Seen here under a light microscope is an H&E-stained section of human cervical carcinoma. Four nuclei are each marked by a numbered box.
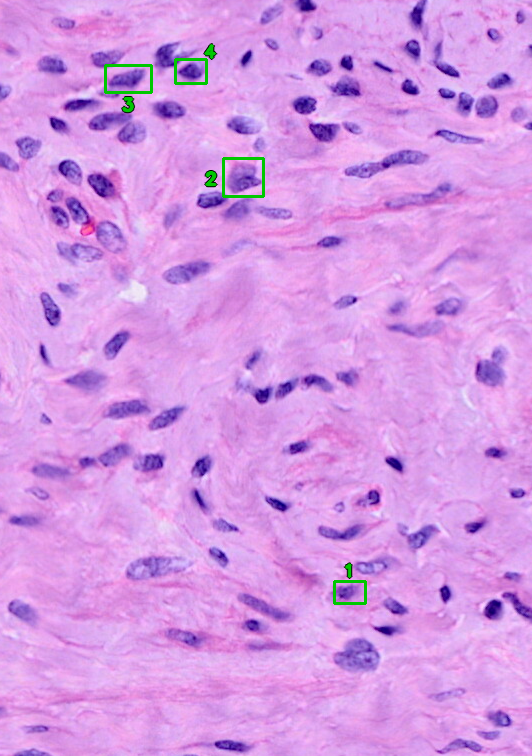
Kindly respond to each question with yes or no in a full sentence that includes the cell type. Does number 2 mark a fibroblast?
Yes, cell 2 among the marked cells is a fibroblast.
